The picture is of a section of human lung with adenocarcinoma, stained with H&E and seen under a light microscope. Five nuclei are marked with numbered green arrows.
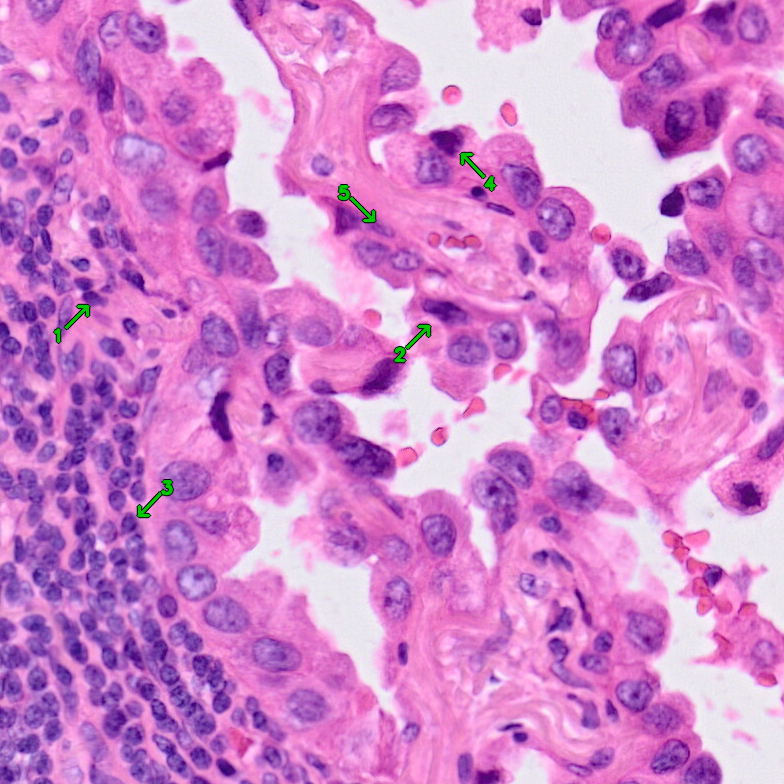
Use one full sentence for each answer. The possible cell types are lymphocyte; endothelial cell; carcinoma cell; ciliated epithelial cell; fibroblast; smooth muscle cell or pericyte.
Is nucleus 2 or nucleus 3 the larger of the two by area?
It is nucleus 2, which covers about 1.5 times the area of nucleus 3.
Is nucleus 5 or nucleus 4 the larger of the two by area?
Number 4 is larger; its area is about 3 times that of number 5.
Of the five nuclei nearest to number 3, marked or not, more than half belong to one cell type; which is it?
Most of the five nuclei nearest to number 3 are those of lymphocytes.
